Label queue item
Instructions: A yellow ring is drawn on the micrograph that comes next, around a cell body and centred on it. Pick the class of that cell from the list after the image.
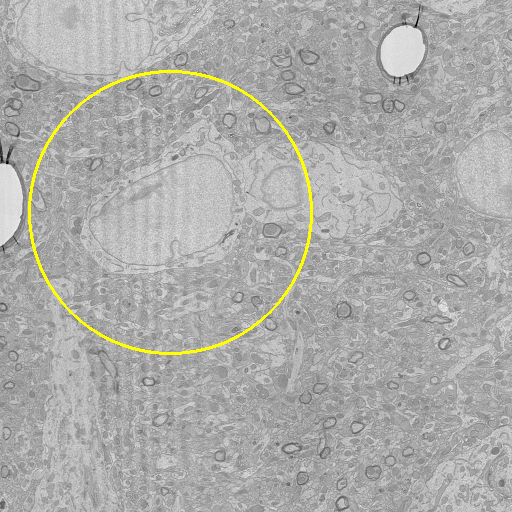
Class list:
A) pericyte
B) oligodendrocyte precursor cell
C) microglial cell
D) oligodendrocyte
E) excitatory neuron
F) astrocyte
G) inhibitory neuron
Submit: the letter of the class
E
